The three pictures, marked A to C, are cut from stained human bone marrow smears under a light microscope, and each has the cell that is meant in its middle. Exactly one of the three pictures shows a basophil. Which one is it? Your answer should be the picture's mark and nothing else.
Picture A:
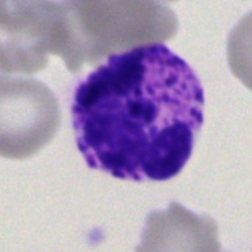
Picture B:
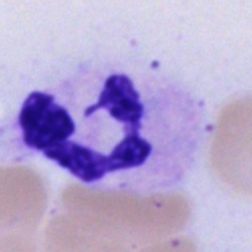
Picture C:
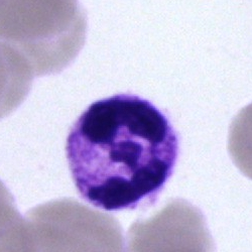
A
